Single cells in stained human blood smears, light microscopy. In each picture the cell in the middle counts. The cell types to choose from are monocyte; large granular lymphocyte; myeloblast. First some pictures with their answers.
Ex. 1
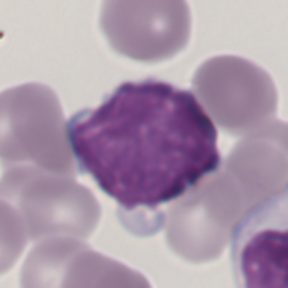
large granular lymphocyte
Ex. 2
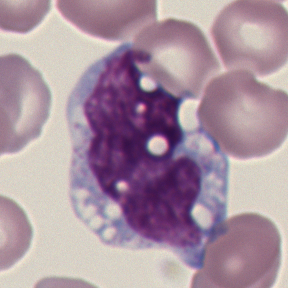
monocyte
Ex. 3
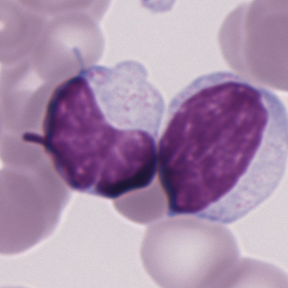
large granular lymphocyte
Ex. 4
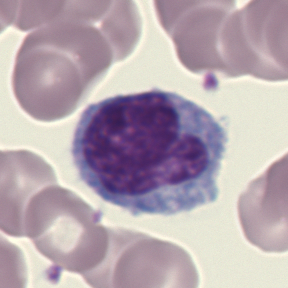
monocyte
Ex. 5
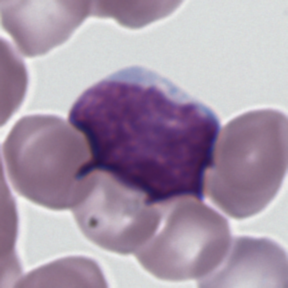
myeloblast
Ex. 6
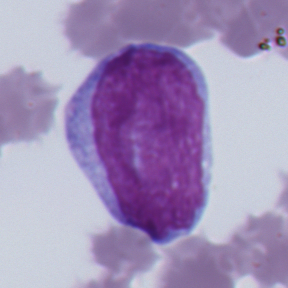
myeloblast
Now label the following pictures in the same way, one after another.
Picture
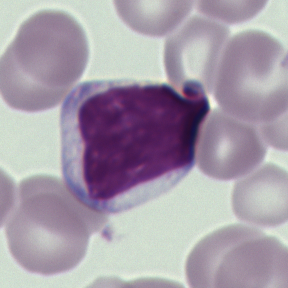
large granular lymphocyte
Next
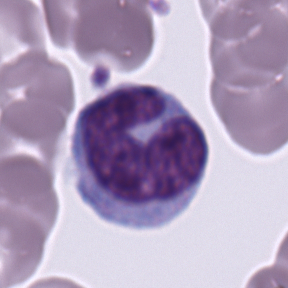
monocyte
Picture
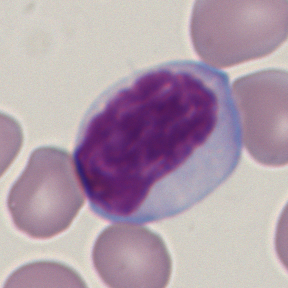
myeloblast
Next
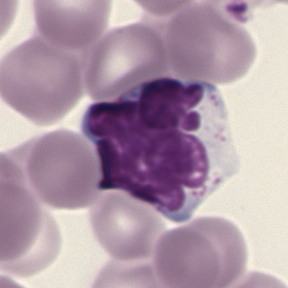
large granular lymphocyte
